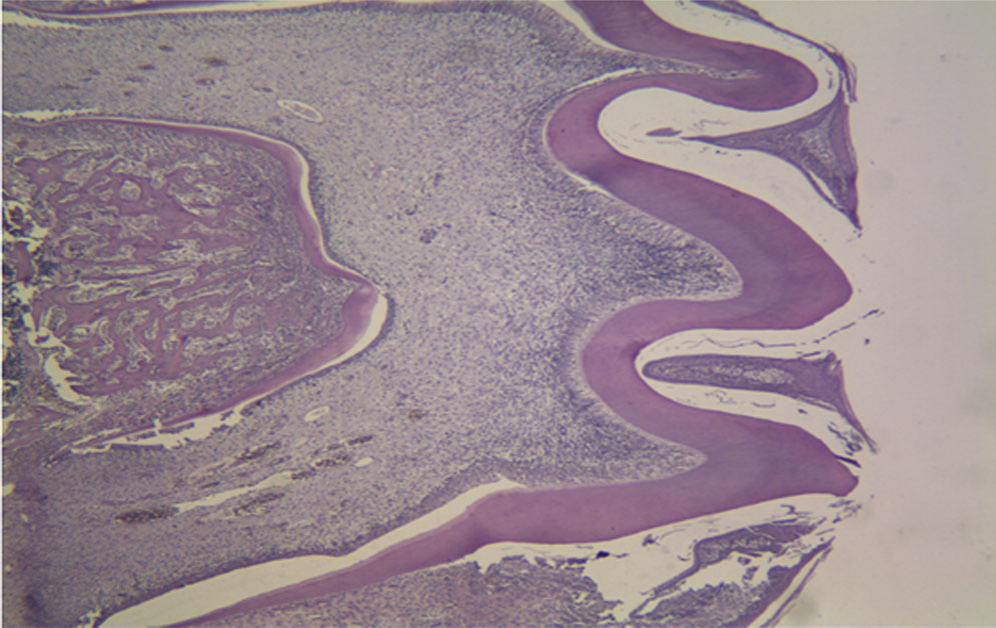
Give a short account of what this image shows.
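This section passes through the crown of a developing molar, with several cusps and the deep folds between them. The dentin forms a thick, homogeneous pink-purple band that follows the cusp outline. It encloses a densely cellular pulp, and a darker row of cells lines the dentin along its inner surface. Outside the dentin lies a pale, largely empty space bordered by thin cellular epithelial remnants, and trabecular bone with marrow spaces lies on the left.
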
